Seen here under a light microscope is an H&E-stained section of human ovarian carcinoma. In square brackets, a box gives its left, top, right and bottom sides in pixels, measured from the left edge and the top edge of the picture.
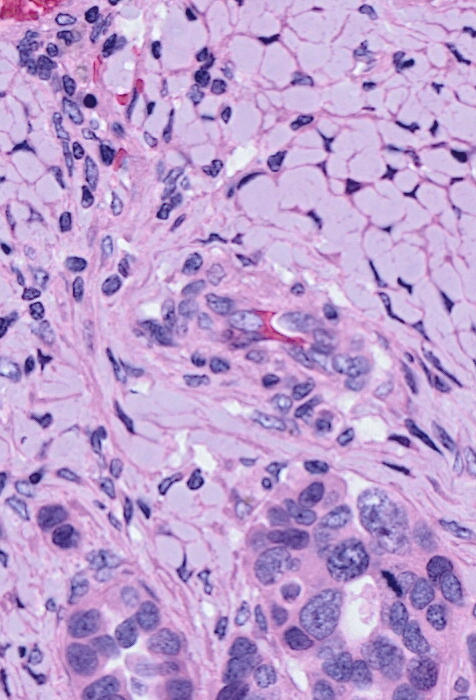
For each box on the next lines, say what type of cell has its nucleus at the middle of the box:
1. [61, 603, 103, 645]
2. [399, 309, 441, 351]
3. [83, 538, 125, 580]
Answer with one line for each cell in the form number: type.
1: carcinoma cell
2: fibroblast
3: fibroblast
